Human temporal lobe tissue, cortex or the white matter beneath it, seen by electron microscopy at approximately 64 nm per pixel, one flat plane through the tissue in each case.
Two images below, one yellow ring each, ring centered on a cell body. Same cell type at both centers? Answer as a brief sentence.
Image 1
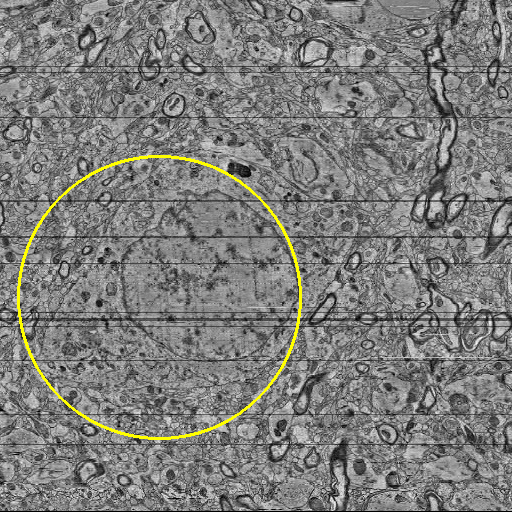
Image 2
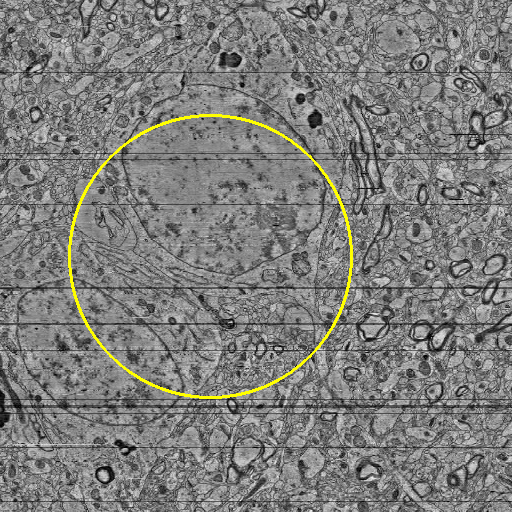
Yes, both cells are of the same type.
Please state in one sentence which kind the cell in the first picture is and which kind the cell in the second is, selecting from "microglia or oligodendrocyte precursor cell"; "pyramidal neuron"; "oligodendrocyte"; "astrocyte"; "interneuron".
In each picture the ringed cell is a pyramidal neuron.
